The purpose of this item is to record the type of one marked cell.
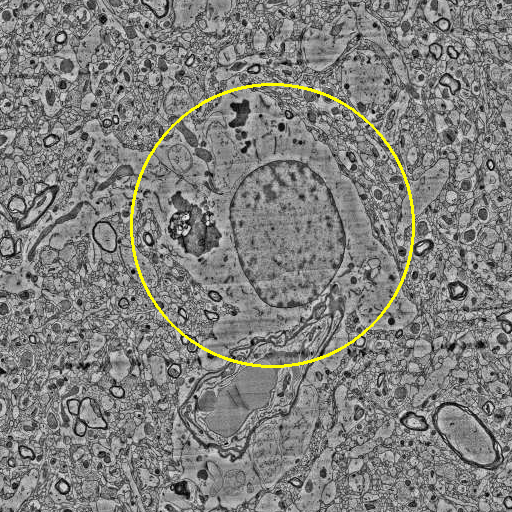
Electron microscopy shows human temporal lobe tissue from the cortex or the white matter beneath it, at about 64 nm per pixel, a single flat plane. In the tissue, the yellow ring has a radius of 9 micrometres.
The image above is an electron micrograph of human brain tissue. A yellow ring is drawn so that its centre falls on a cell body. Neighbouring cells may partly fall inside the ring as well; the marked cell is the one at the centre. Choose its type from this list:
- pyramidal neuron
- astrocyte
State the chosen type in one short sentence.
What the ring marks here is an astrocyte.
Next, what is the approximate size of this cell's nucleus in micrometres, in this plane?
The nucleus measures about 9 by 8 micrometres in this plane.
